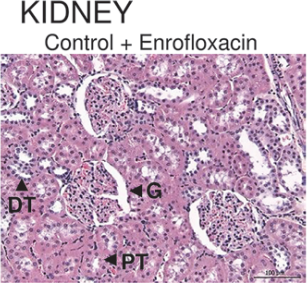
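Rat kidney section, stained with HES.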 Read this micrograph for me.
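Renal cortex with several glomeruli among cross-sectioned tubules. Each glomerulus is a rounded tuft crowded with dark nuclei, set within a clear space bounded by a thin capsule. The surrounding tubules are lined by cuboidal epithelial cells with pink cytoplasm and round nuclei. Some tubules have narrow lumens and bulky pink cells, others have wider, clearer lumens. The interstitium between tubules is scant.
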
